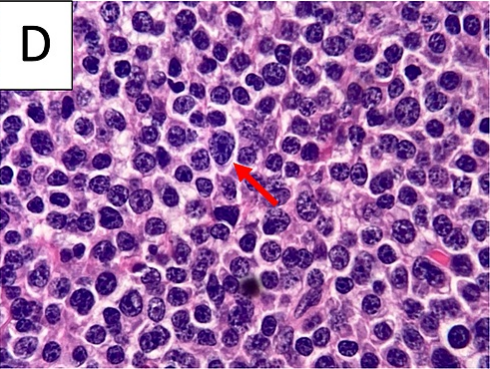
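A dense, sheet-like infiltrate of plasma cells fills the field, packed closely with little intervening stroma. The cells are round to oval with round, dark purple nuclei with coarse, clumped chromatin, some placed off-centre, and a modest rim of pink-purple cytoplasm. Occasional red blood cells lie between them.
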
